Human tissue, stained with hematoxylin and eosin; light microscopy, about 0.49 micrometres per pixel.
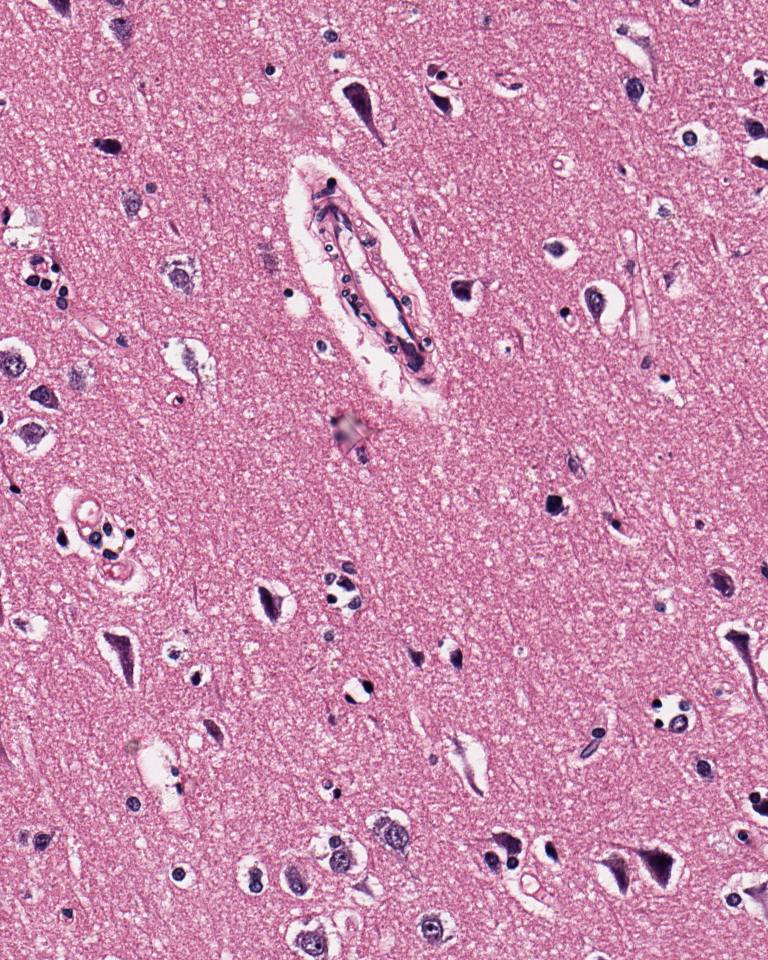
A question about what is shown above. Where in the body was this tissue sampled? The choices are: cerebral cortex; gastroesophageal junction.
cerebral cortex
